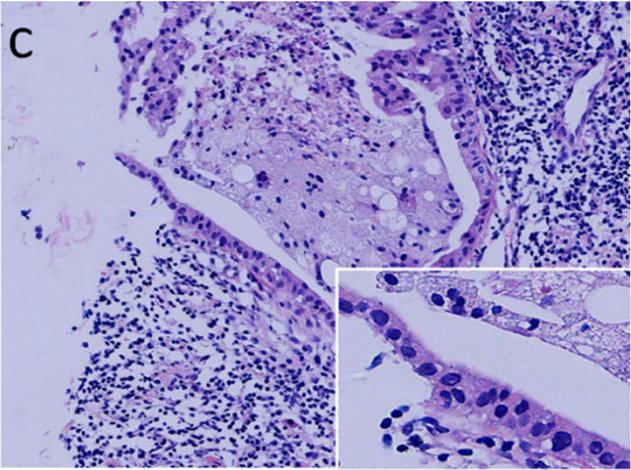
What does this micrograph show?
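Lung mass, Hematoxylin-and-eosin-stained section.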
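Between the epithelial layers lies pale, foamy material with vacuoles and scattered cells. Dense infiltrates of small round dark lymphocytes fill the stroma on both sides.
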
